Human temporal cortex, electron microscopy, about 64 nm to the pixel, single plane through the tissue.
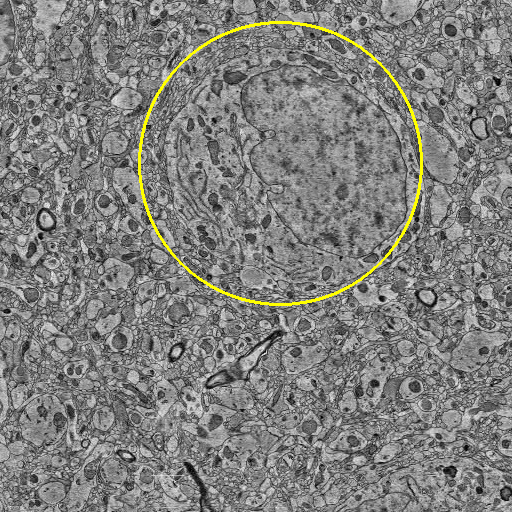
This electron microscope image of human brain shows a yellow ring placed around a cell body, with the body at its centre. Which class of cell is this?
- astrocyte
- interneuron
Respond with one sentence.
The cell body at the ring's centre is an interneuron.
